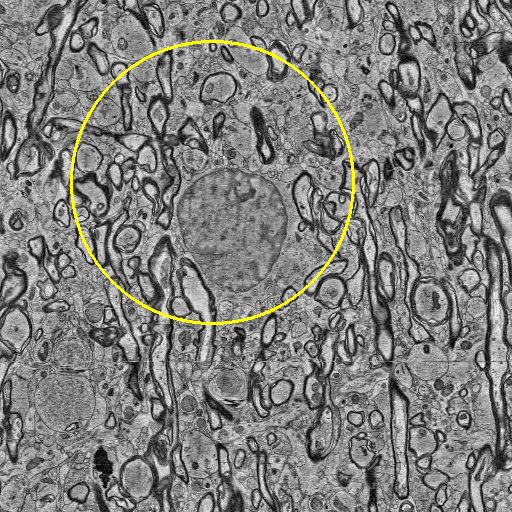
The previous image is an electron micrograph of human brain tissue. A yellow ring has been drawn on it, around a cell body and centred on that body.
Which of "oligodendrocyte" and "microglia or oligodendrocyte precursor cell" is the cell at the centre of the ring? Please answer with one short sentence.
The cell body at the centre of the ring belongs to an oligodendrocyte.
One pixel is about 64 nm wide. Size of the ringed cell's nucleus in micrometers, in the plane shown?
Roughly 8 by 7 micrometres in this plane, for the nucleus of the ringed cell.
